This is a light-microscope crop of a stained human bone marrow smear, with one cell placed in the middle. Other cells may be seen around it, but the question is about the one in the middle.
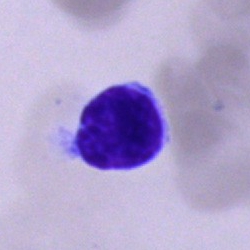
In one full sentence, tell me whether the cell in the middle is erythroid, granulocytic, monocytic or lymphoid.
The cell at the center belongs, by lineage, to the lymphoid line.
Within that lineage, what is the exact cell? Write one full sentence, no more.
The cell of interest, located centrally, is a lymphocyte.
